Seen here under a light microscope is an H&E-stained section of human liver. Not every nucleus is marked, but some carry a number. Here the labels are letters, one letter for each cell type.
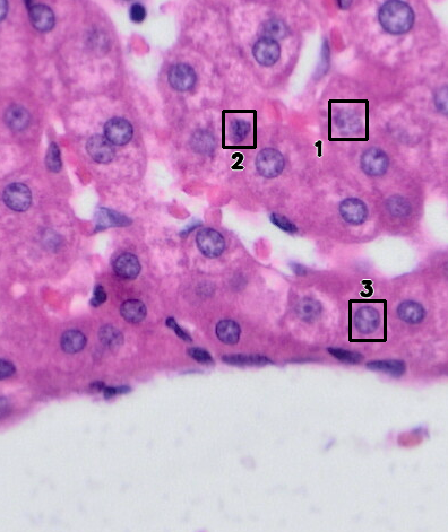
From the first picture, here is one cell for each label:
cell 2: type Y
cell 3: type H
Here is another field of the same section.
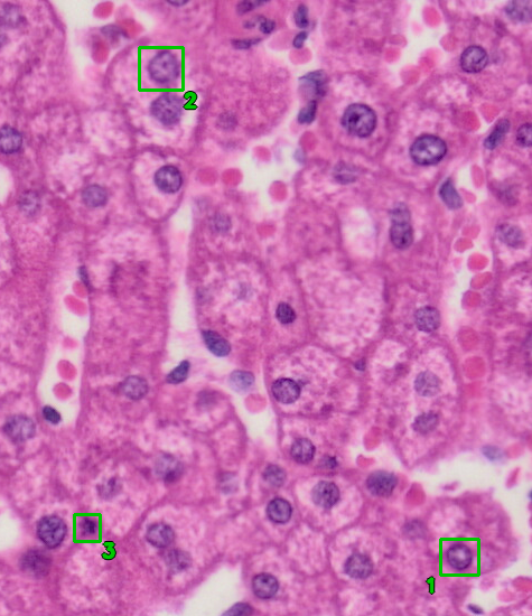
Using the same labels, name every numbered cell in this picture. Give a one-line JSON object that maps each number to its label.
{"1": "type H", "2": "type H", "3": "type Y"}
